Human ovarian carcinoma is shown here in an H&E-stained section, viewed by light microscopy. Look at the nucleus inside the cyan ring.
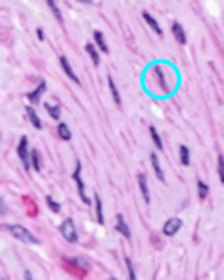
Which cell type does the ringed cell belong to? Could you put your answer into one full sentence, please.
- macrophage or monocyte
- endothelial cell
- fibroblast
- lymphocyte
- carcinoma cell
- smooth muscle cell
The correct response here is that the ringed cell is a fibroblast.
